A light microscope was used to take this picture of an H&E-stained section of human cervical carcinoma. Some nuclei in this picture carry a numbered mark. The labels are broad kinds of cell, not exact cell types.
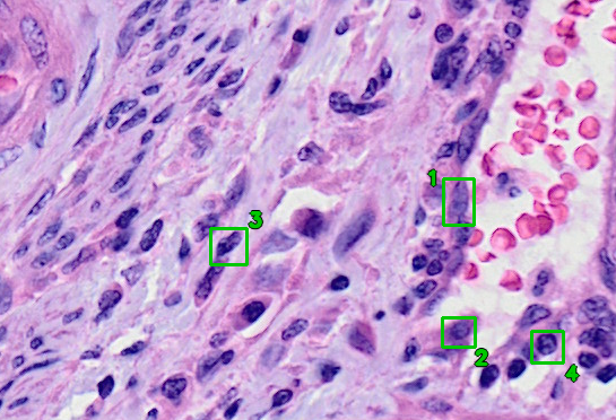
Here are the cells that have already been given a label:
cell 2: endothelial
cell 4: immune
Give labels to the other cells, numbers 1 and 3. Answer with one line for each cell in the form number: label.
1: endothelial
3: immune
